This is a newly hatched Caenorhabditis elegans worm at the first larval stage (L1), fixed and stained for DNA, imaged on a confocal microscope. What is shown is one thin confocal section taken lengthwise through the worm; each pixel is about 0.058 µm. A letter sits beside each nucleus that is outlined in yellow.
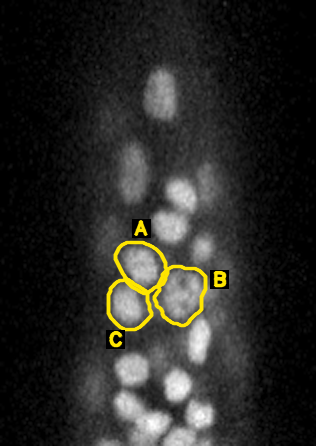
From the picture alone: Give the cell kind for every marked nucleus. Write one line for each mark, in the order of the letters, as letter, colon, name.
A: arcade cell
B: seam cell
C: glial cell (sheath or socket)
